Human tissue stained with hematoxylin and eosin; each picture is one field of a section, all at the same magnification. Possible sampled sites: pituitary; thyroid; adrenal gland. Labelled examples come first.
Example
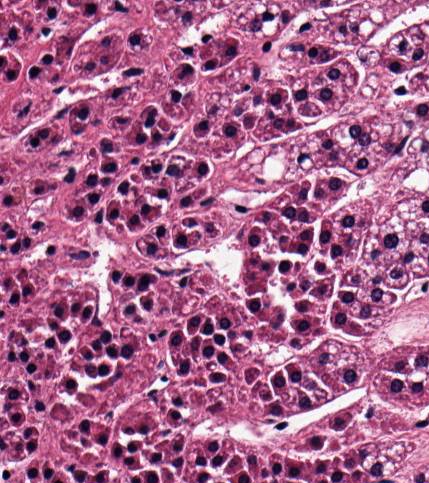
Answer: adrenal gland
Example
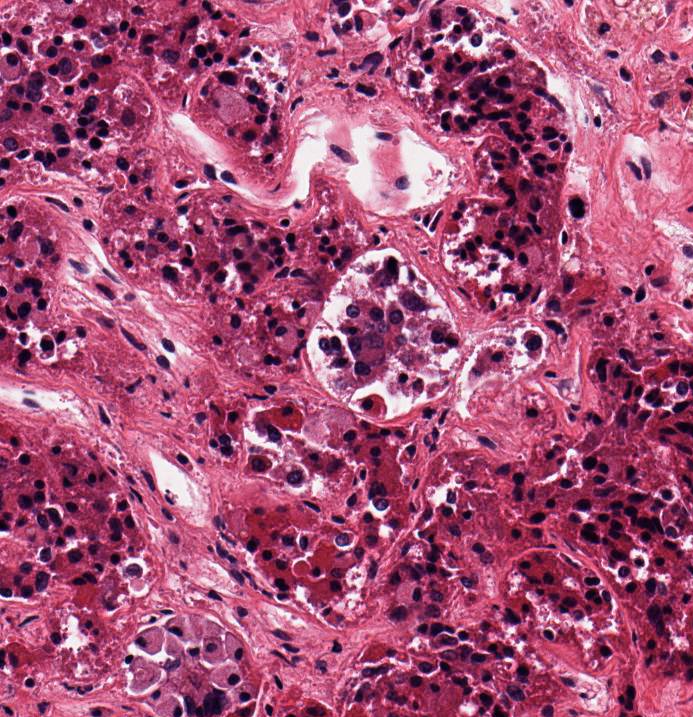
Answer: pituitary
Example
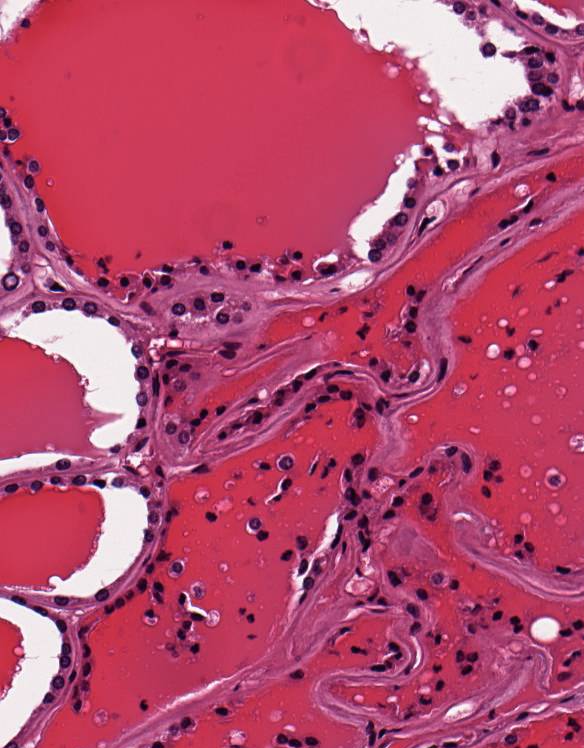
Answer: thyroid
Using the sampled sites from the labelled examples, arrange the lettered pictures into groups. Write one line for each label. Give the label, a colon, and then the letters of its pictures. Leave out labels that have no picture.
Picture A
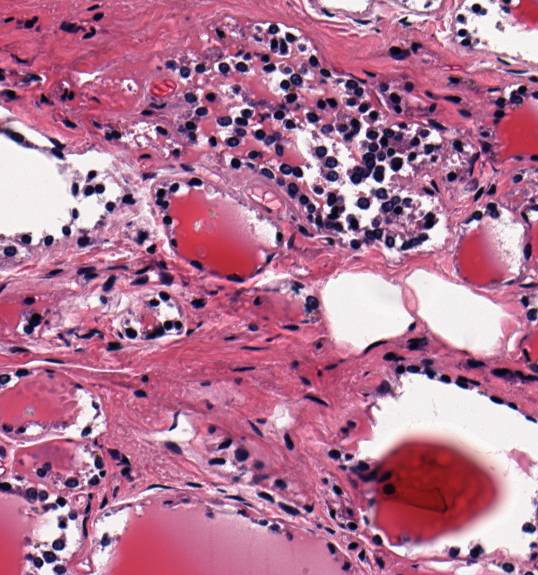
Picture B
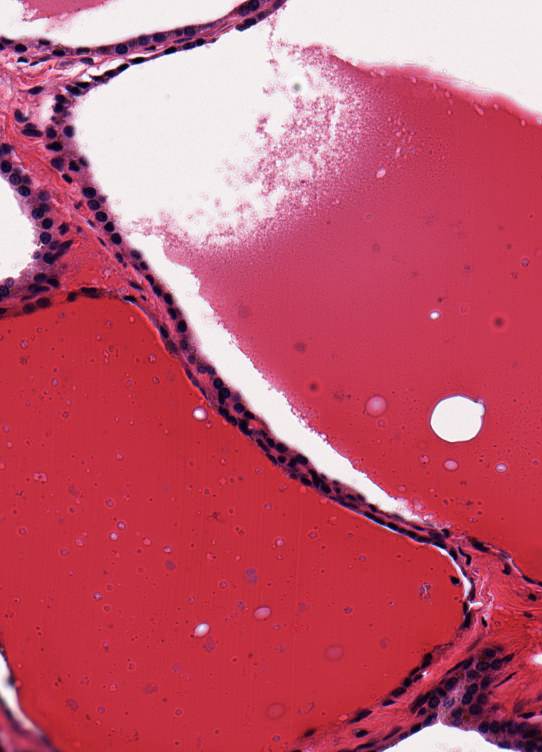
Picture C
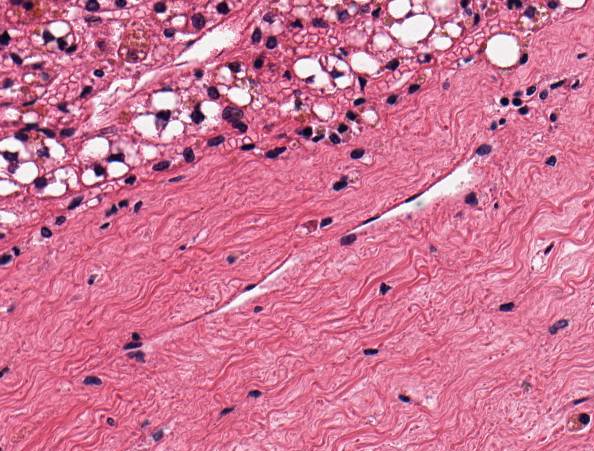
thyroid: A, B
adrenal gland: C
